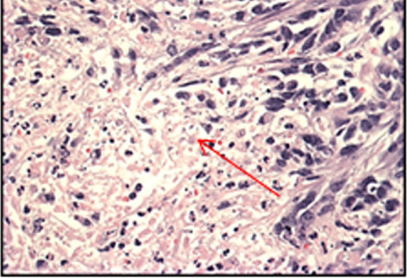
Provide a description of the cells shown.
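This tumor section contains a large pale pink area in which few intact cells remain and small dark nuclear fragments are scattered through loose material. Along the right side, the remaining tumor cells have dark, elongated to irregular nuclei and lie in streaming bundles.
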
